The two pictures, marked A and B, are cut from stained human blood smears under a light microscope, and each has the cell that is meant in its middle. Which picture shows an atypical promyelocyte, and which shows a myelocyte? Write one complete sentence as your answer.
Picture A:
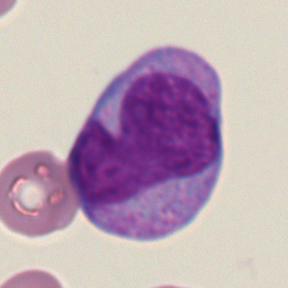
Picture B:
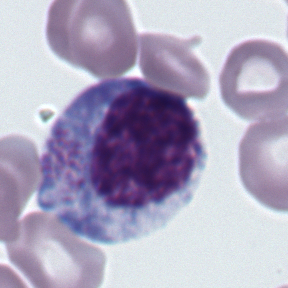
Picture A shows an atypical promyelocyte and picture B shows a myelocyte.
